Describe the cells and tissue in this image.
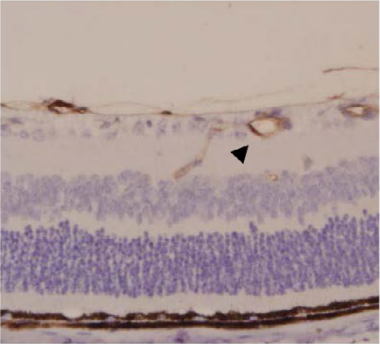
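This is a cross-section of retina showing a thin inner layer at the top, a band of purple-stained inner nuclear layer, a thick densely packed outer nuclear layer and a dark pigmented band at the bottom. A few brown-ringed round vessel profiles lie in the inner layers and along the inner surface, and a thin brown vessel runs obliquely down through the inner retina.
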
